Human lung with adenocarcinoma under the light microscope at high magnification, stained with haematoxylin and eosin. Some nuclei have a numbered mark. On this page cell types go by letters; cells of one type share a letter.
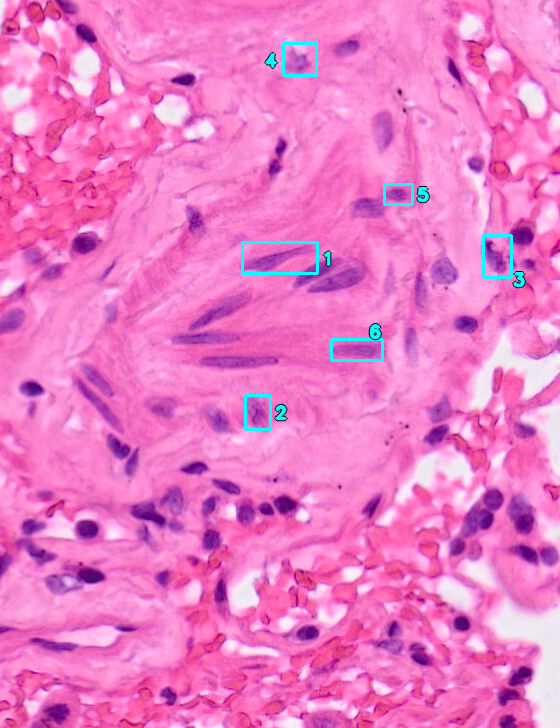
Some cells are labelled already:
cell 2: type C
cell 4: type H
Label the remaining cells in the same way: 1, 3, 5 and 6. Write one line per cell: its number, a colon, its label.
1: type C
3: type H
5: type C
6: type C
